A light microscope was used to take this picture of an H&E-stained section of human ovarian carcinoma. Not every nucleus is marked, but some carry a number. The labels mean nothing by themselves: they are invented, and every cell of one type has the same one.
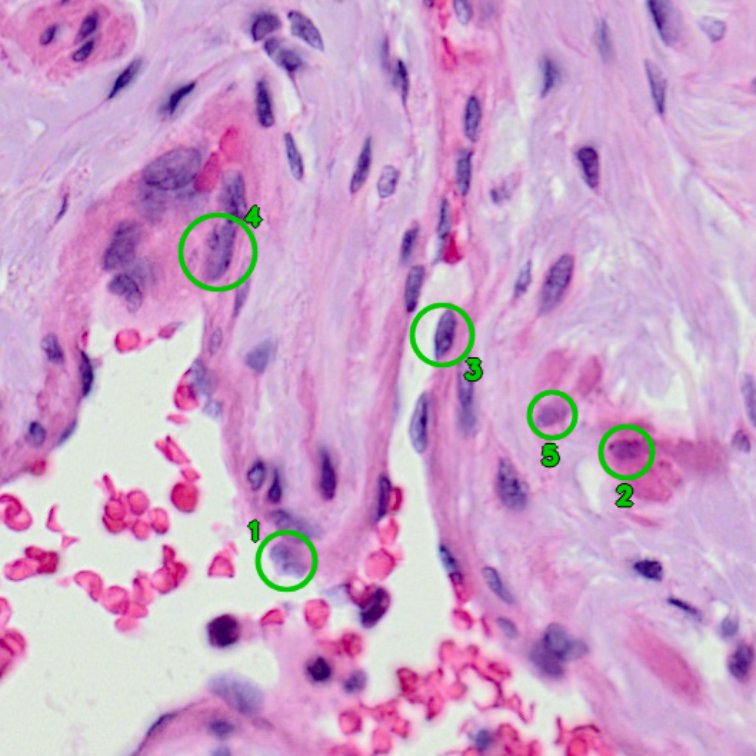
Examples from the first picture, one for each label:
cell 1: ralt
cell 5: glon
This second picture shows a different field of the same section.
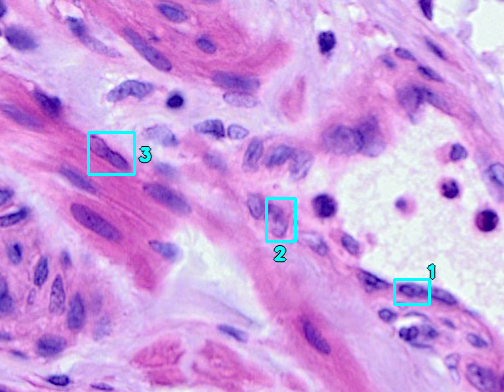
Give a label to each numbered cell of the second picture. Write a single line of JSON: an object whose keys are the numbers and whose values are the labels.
{"1": "ralt", "2": "ralt", "3": "glon"}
